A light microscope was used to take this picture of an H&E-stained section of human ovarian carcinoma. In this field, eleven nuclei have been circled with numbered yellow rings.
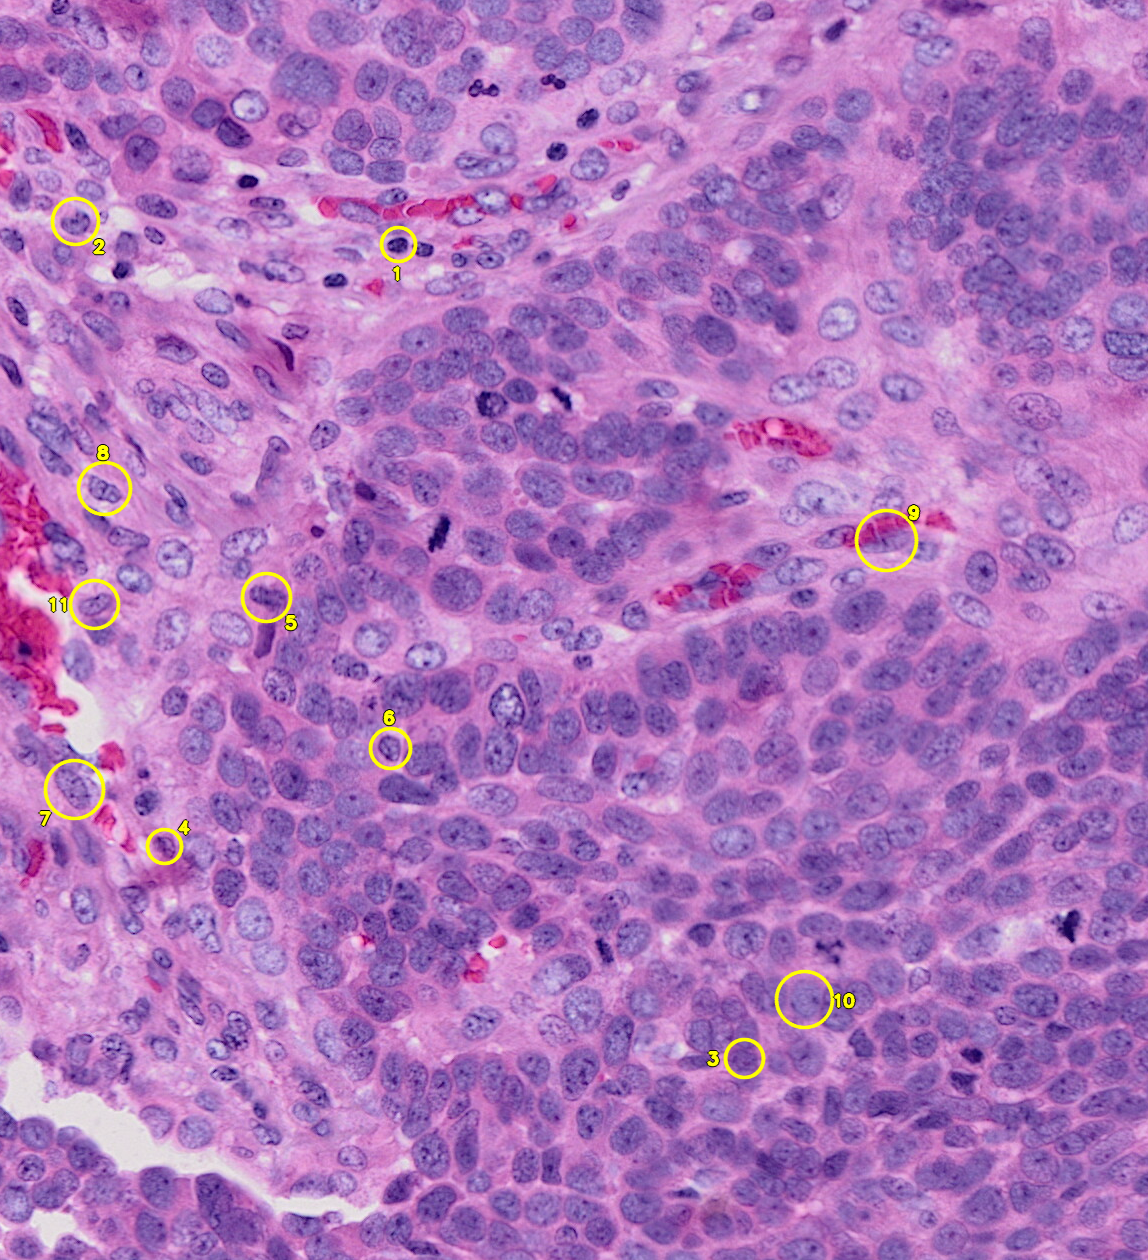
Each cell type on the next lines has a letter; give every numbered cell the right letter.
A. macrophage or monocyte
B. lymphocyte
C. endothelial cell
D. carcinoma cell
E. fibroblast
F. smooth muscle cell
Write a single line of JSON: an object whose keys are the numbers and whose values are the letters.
{"1": "B", "2": "A", "3": "D", "4": "A", "5": "A", "6": "A", "7": "C", "8": "A", "9": "C", "10": "D", "11": "C"}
